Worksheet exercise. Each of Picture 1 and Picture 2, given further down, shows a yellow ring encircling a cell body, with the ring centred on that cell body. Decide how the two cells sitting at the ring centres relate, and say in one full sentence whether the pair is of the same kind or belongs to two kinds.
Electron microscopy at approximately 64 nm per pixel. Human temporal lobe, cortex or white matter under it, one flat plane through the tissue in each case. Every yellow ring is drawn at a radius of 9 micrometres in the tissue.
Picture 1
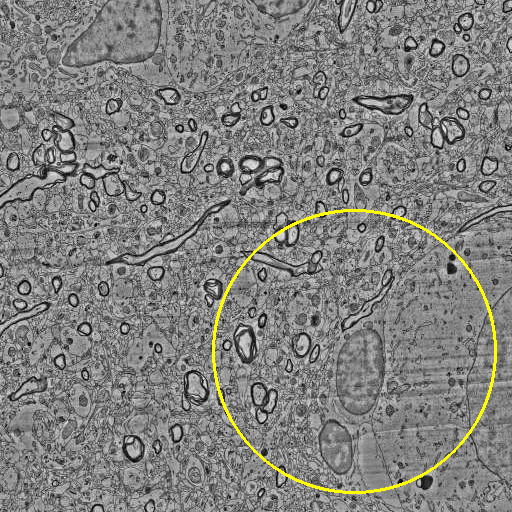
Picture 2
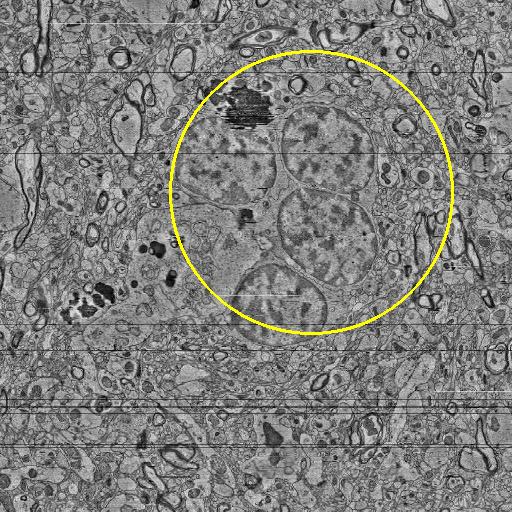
The cells at the ring centres in Picture 1 and Picture 2 are of the same kind.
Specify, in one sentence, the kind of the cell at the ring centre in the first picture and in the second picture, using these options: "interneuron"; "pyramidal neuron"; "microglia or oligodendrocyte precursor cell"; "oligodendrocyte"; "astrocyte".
Each of the ringed cells, first and second, is an oligodendrocyte.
